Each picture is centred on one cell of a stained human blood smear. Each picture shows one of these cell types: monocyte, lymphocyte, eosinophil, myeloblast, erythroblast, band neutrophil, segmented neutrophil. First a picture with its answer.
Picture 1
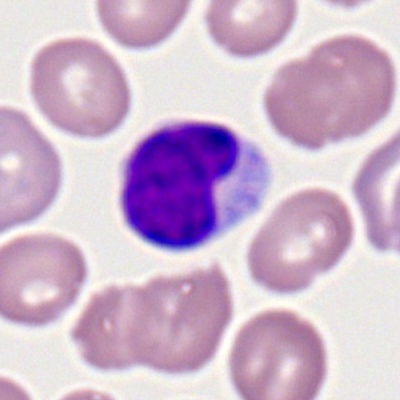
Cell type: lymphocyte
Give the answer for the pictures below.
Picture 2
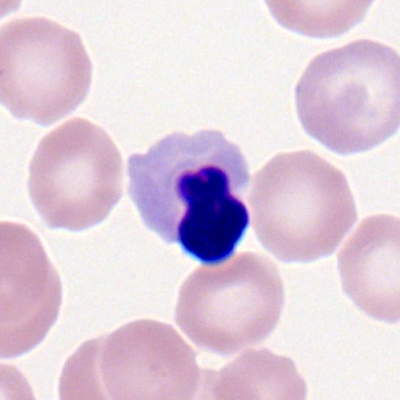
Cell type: erythroblast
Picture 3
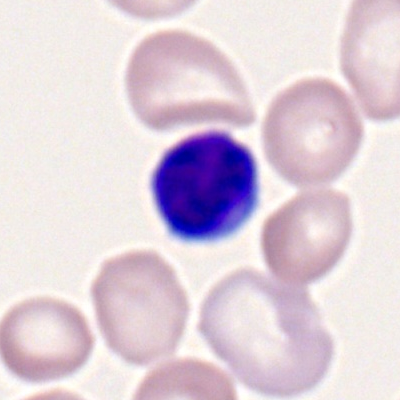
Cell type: lymphocyte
